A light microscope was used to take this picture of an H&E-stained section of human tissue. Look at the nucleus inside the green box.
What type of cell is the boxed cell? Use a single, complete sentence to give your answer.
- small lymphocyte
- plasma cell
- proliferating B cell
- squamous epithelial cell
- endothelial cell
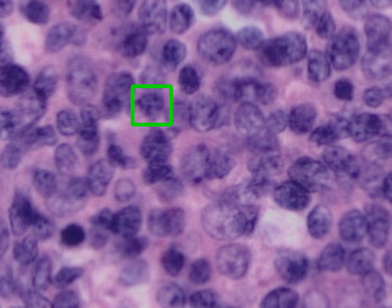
Placed in its cell category, the boxed cell is a proliferating B cell.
